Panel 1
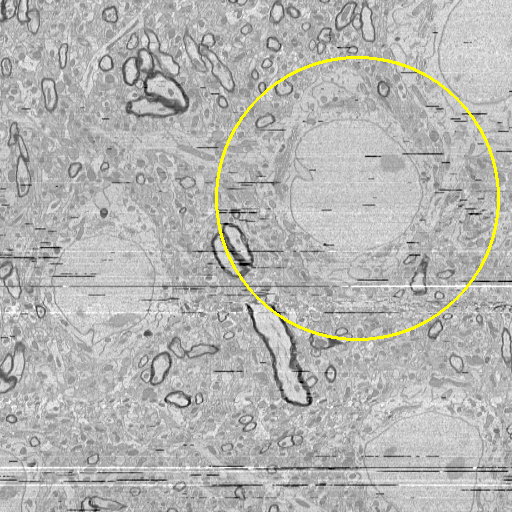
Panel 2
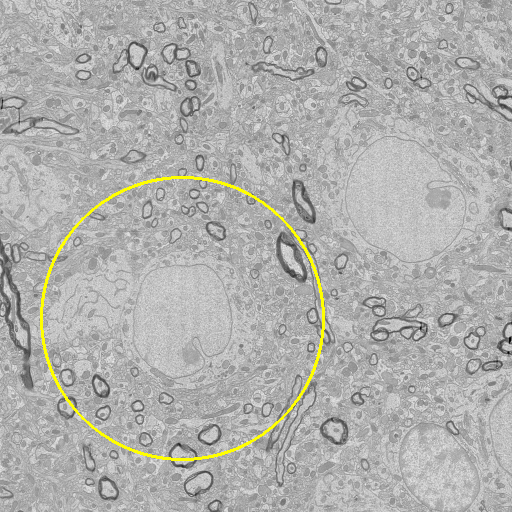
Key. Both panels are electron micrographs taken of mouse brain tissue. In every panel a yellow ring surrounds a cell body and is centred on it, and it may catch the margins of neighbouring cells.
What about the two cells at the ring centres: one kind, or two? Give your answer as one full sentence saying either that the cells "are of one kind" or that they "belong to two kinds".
Across Panels 1 and 2, the two cells at the ring centres are of one kind.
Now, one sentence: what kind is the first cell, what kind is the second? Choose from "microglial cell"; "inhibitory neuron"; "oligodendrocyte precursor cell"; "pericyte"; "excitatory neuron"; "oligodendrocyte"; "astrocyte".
Both pictures show an excitatory neuron at the centre of the ring.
